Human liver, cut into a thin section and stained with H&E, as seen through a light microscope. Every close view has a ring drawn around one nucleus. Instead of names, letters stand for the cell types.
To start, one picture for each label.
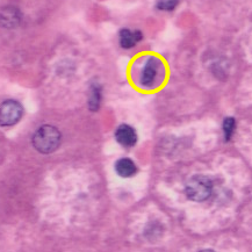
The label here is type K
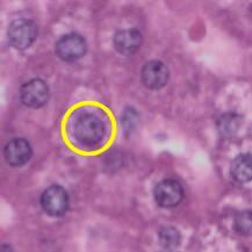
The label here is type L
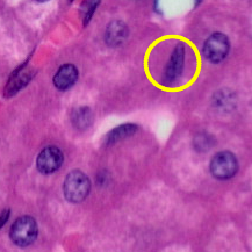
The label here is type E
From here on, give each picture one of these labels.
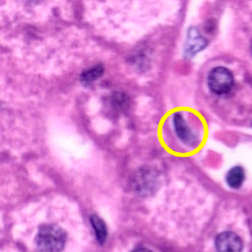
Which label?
type K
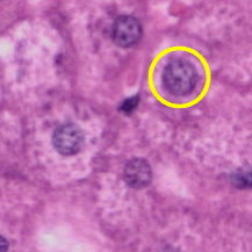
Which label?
type L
